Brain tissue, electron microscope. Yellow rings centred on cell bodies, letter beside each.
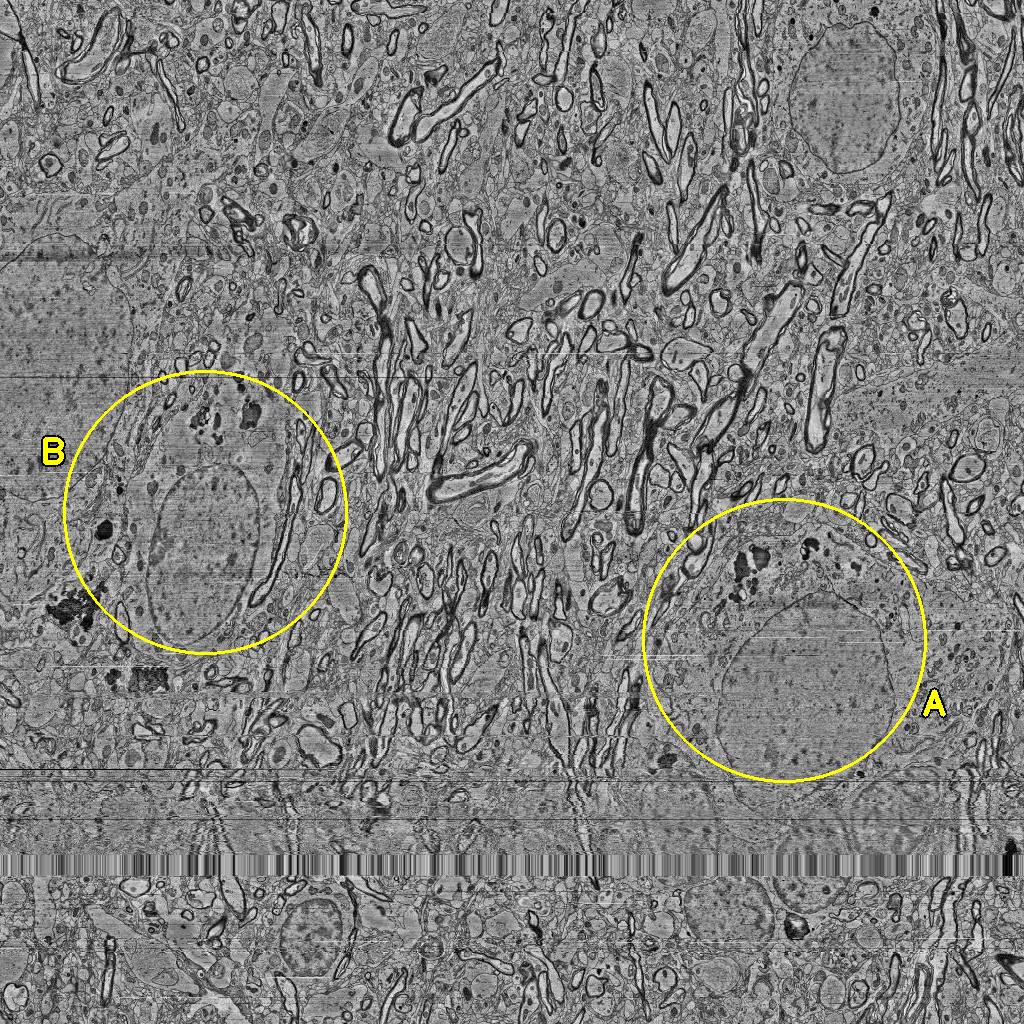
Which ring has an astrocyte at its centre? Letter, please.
B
